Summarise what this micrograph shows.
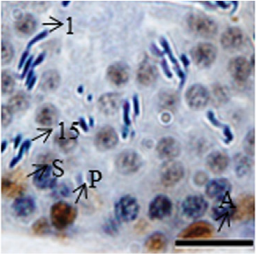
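This is seminiferous epithelium of the testis with germ cells layered from base to lumen. Small nuclei sit along the base, some stained brown, larger round nuclei of spermatocytes lie above them, and many pale round spermatid nuclei fill the upper part. Thin, dark blue elongated spermatid heads are grouped in bundles reaching toward the lumen.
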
